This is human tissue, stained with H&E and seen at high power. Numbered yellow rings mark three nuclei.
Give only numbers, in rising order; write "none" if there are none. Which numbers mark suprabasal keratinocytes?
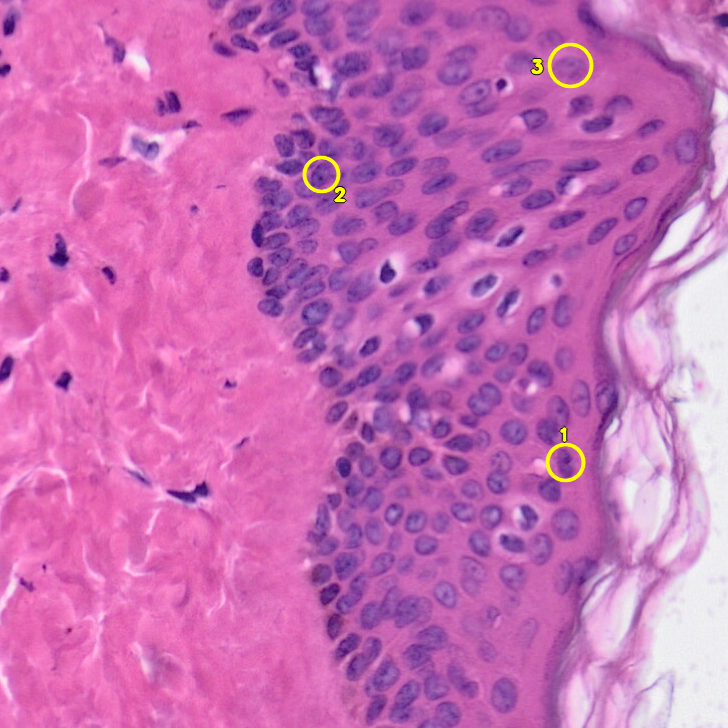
1, 3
